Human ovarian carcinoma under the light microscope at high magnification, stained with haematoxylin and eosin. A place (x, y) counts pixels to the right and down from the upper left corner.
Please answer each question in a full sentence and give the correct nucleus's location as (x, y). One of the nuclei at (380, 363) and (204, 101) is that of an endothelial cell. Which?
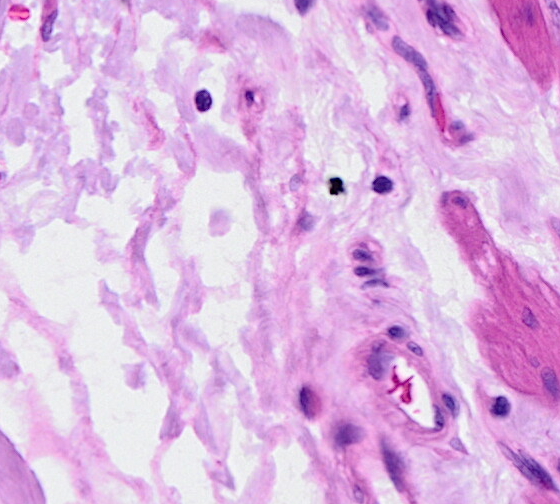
Of the two options, the nucleus at (380, 363) is the one that belongs to an endothelial cell.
